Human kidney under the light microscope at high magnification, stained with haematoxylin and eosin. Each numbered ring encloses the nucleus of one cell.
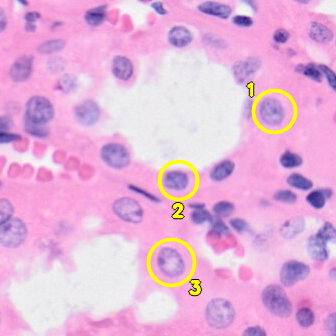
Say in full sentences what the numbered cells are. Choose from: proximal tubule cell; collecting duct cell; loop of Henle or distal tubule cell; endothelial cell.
Cell 1 is a loop of Henle or distal tubule cell, cell 2 is a loop of Henle or distal tubule cell and cell 3 is a proximal tubule cell.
